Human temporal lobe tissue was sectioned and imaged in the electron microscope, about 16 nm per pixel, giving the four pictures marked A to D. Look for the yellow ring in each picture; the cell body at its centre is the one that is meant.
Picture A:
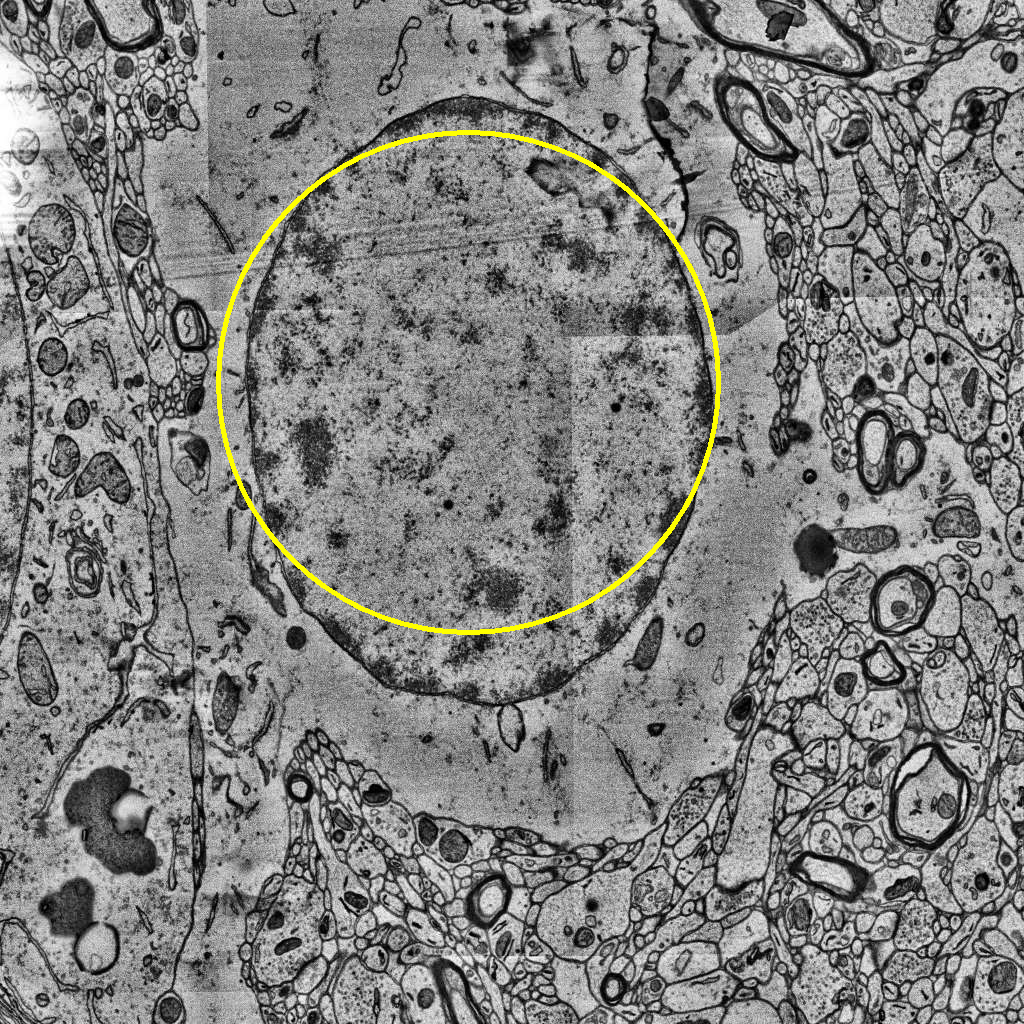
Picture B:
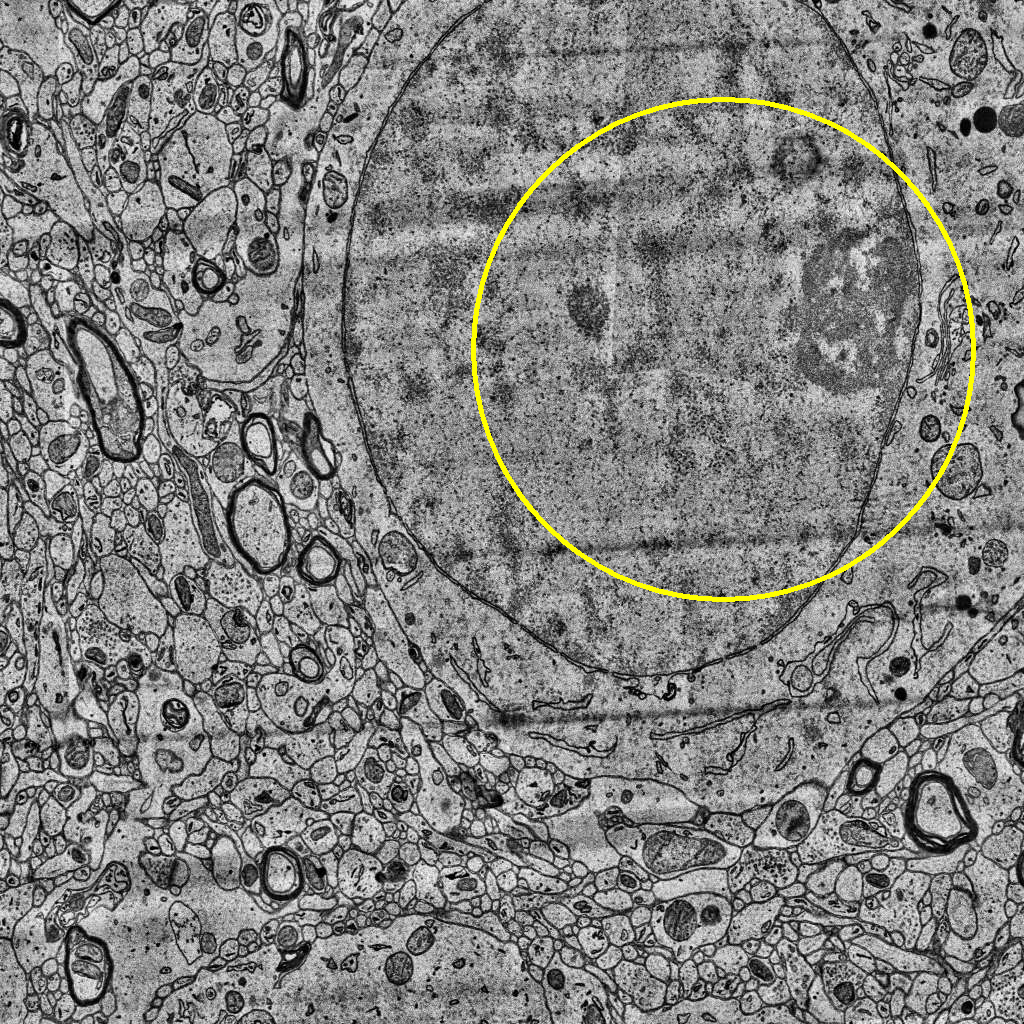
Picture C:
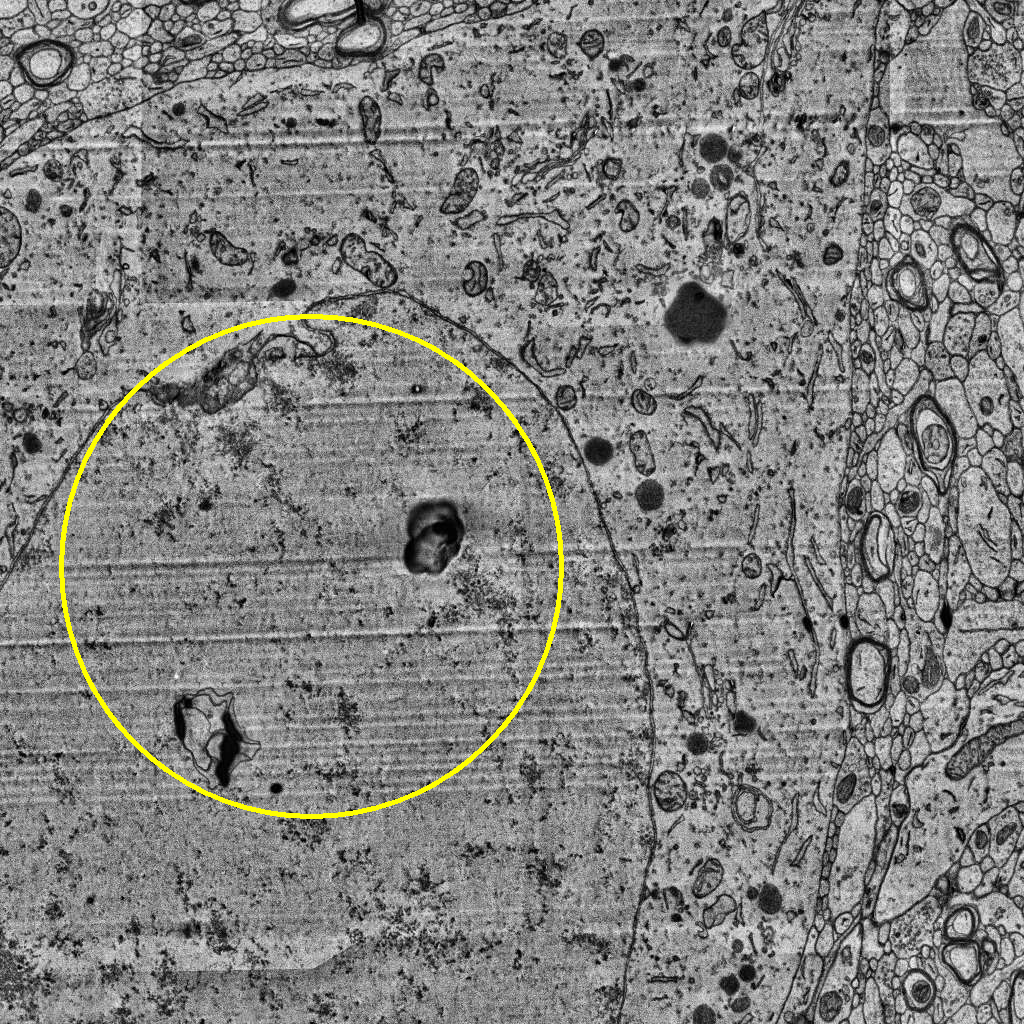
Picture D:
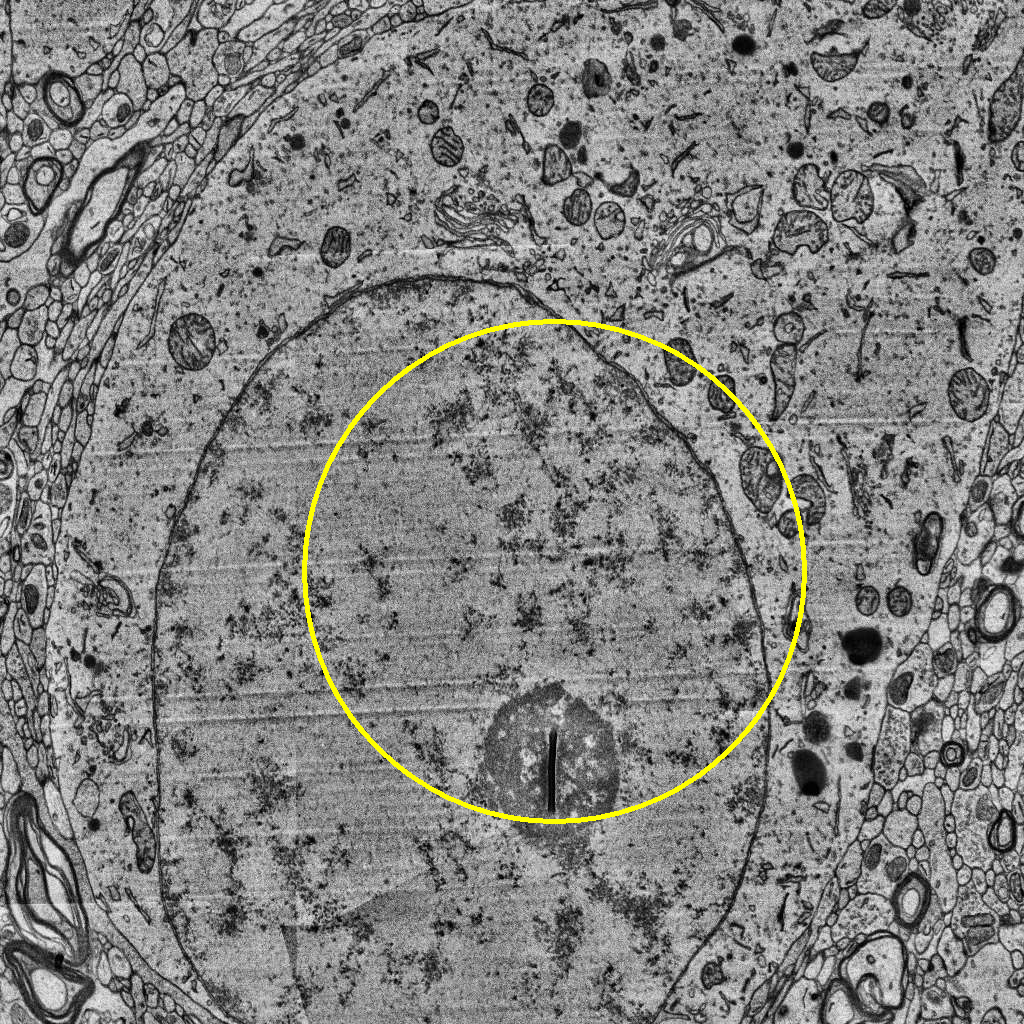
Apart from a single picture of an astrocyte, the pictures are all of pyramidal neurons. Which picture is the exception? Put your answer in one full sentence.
The picture with the astrocyte is A.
